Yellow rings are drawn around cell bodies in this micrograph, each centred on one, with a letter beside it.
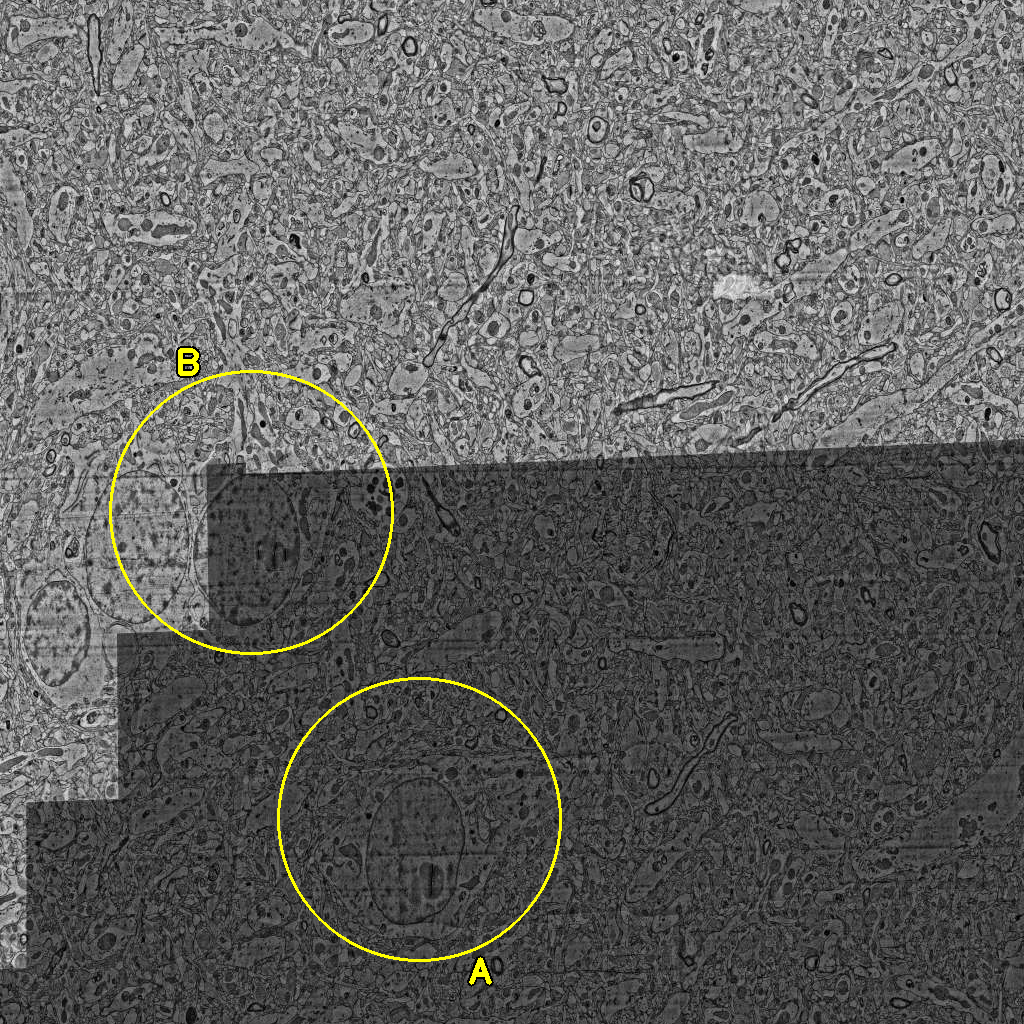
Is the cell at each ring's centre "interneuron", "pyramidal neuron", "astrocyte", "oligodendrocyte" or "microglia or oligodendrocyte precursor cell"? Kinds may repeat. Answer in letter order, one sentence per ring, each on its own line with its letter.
In ring A, the cell at the centre is a pyramidal neuron.
In ring B, the cell at the centre is an astrocyte.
